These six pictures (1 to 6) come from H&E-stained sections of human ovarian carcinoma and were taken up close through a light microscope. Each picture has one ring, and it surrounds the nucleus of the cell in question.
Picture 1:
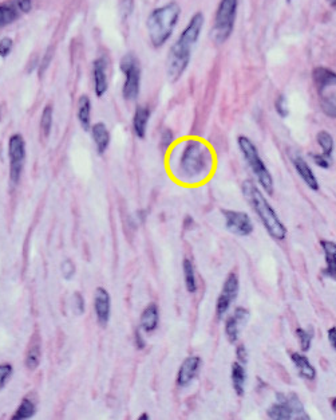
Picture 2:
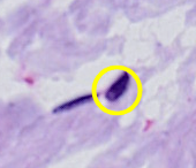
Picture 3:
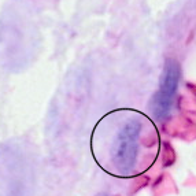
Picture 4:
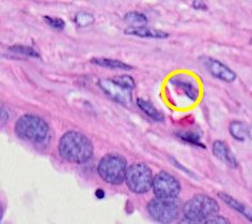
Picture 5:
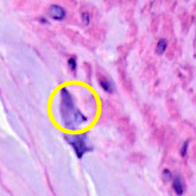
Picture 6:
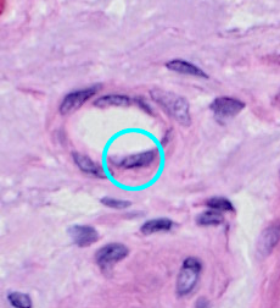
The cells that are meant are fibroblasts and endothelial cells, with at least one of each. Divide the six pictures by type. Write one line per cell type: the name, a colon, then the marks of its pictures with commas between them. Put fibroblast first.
fibroblast: 1, 2, 5
endothelial cell: 3, 4, 6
